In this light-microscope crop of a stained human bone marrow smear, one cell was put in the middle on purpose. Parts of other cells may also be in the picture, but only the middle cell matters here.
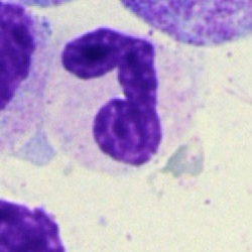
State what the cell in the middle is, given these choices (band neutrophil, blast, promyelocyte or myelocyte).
band neutrophil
